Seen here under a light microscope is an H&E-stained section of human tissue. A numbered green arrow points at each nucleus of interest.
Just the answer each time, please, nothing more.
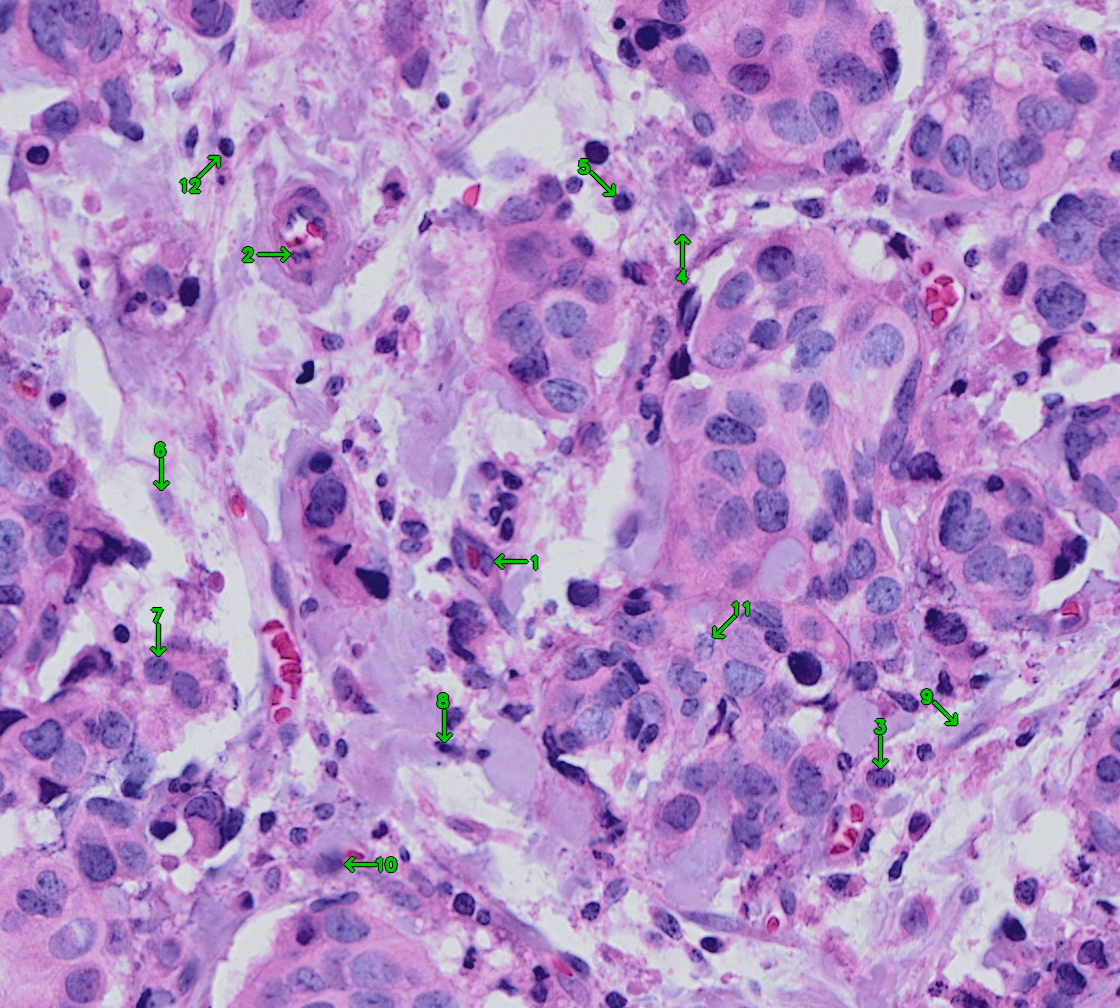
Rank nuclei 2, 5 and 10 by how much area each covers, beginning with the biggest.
10, 5, 2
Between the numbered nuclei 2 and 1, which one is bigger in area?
1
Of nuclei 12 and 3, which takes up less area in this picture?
12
